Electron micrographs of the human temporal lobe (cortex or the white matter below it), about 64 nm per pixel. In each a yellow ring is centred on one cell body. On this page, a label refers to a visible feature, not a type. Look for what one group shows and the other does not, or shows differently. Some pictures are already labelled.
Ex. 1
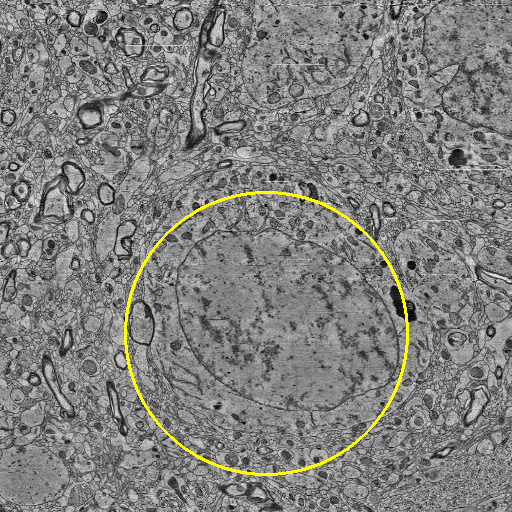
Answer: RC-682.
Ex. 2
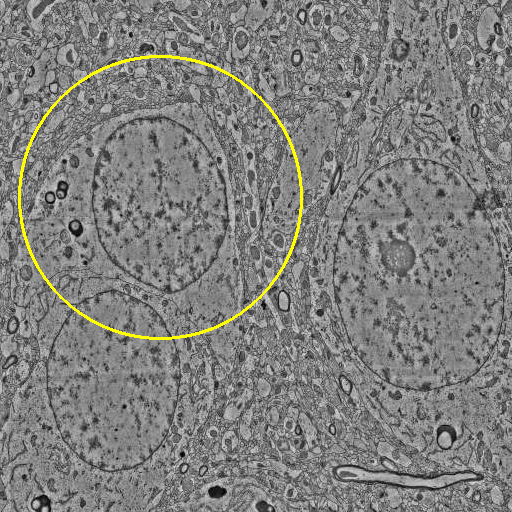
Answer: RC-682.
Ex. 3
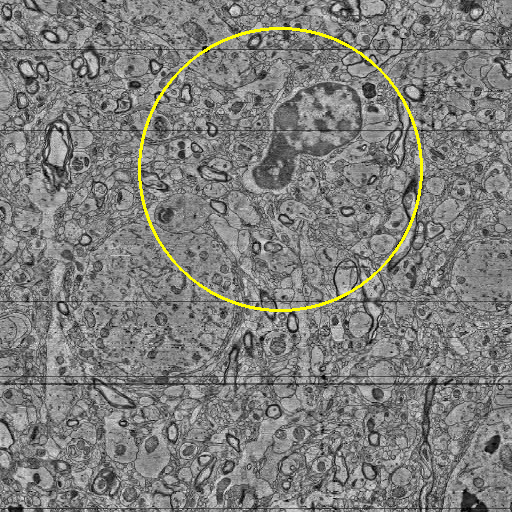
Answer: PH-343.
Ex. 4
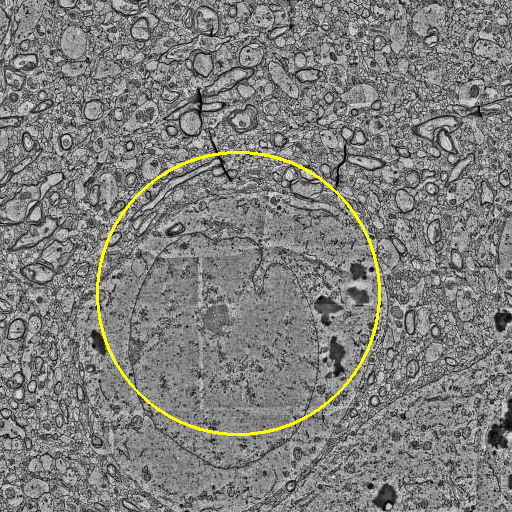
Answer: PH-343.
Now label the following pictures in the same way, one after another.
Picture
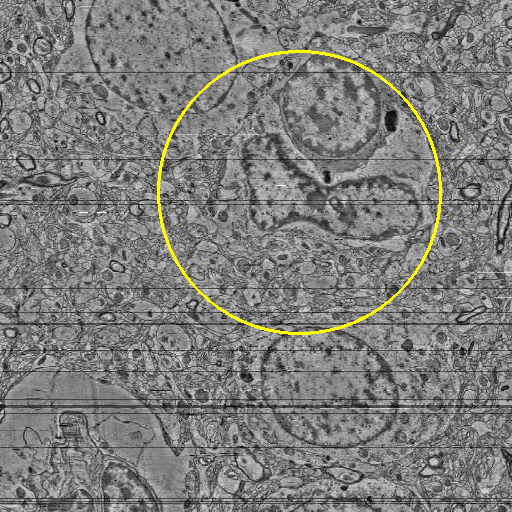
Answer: PH-343.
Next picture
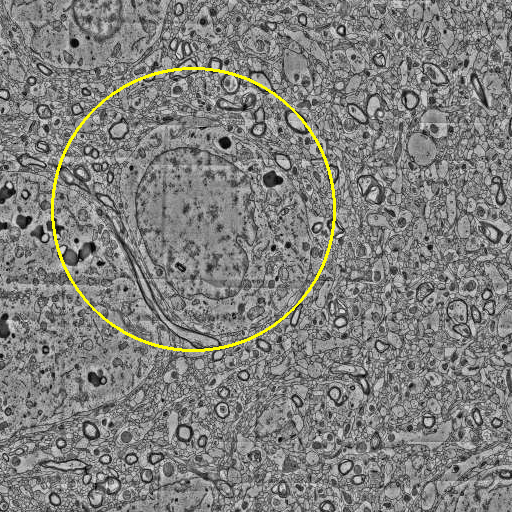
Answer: PH-343.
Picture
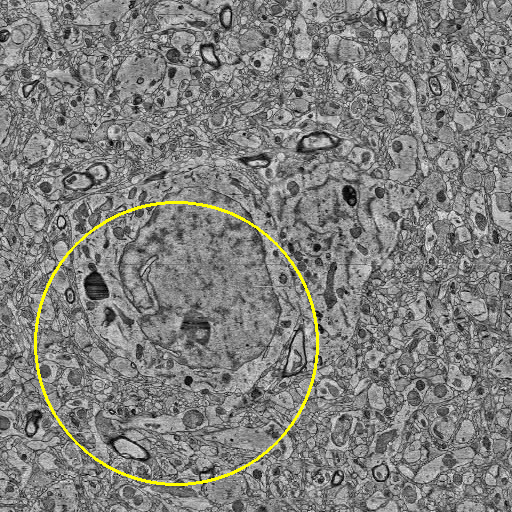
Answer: PH-343.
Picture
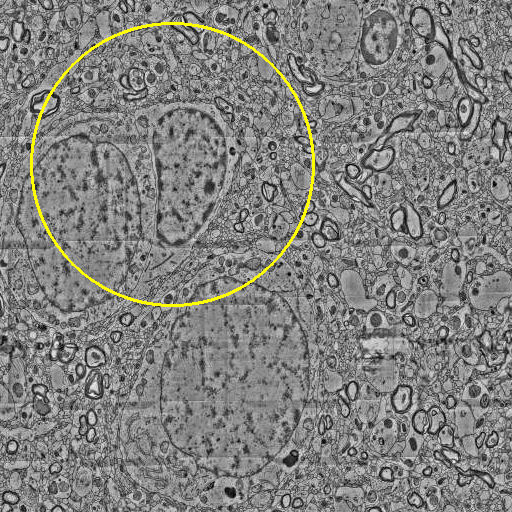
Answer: RC-682.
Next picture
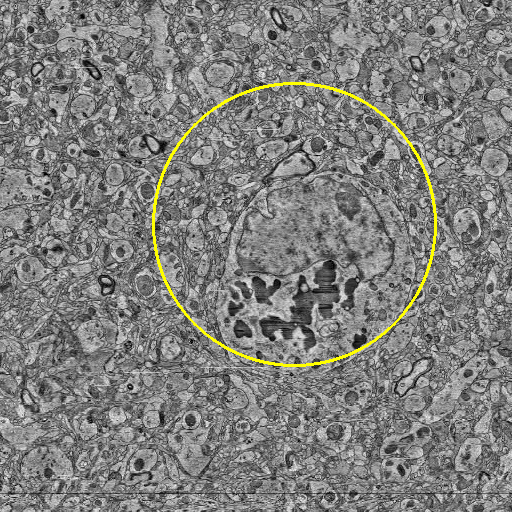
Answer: PH-343.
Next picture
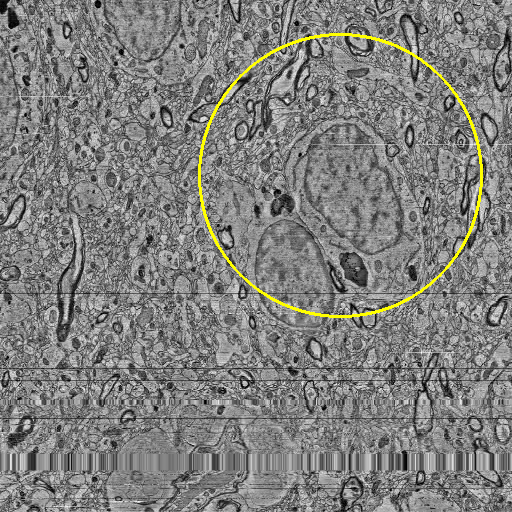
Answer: RC-682.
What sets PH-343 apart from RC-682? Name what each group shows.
Seen in PH-343: deeply folded or indented nuclear envelopes; seen in RC-682: smooth nuclear envelopes without deep folds.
